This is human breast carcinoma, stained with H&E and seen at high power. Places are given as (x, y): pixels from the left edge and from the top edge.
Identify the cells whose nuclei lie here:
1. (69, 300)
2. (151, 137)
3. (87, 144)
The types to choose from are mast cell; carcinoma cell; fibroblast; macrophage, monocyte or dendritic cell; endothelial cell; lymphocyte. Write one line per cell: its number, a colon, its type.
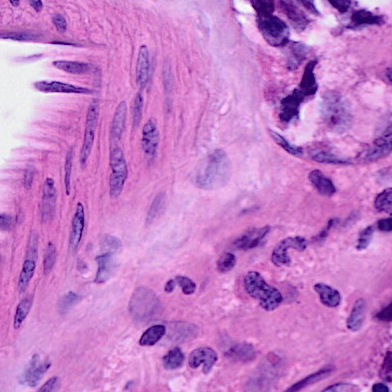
1: fibroblast
2: endothelial cell
3: endothelial cell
